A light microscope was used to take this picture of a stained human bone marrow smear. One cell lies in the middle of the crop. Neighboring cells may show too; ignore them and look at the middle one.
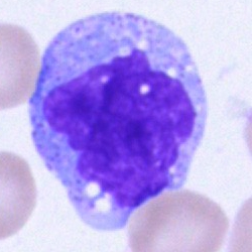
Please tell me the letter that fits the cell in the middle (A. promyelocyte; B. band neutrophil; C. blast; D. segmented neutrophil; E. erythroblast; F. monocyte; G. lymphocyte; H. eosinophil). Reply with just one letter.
F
